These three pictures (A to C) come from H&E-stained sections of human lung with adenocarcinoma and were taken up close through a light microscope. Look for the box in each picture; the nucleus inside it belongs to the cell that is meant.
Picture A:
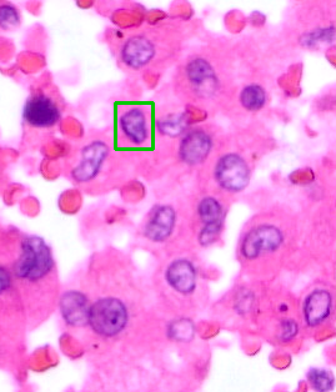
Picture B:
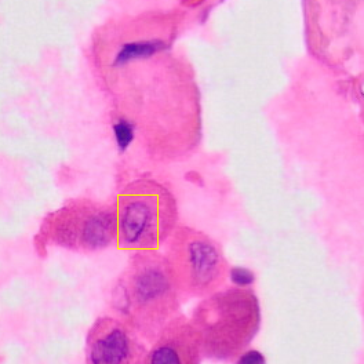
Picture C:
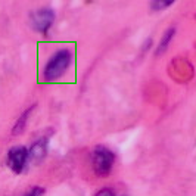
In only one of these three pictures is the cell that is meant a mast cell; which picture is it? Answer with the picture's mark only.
C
